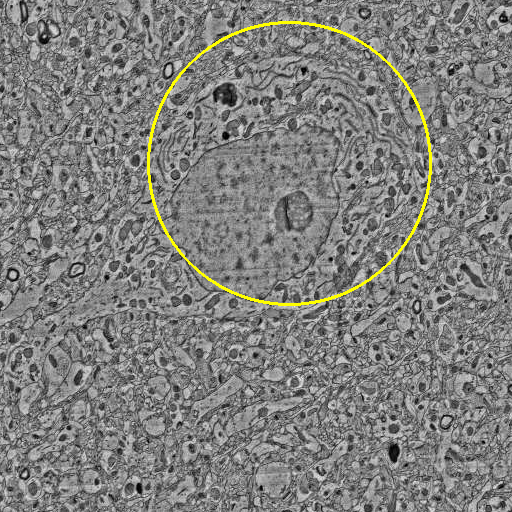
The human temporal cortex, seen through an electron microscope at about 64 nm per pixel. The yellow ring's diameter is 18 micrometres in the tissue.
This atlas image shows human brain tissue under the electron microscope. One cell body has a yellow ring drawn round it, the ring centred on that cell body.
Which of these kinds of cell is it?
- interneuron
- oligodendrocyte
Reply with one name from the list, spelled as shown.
interneuron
